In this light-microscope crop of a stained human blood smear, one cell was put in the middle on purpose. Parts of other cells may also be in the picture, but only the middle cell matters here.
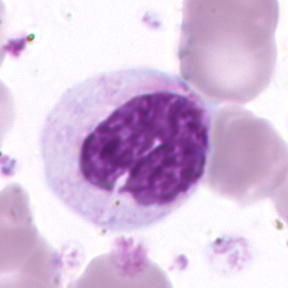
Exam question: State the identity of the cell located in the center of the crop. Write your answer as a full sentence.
The cell at the centre of the field is a band neutrophil.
